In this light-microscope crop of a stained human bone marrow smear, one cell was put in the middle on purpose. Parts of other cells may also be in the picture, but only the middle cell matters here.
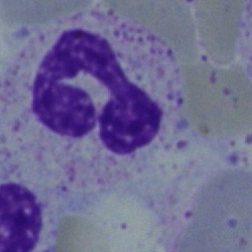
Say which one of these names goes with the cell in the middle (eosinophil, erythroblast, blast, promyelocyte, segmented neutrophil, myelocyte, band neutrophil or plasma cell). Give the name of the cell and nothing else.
segmented neutrophil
